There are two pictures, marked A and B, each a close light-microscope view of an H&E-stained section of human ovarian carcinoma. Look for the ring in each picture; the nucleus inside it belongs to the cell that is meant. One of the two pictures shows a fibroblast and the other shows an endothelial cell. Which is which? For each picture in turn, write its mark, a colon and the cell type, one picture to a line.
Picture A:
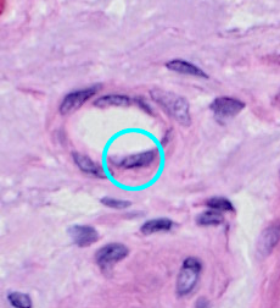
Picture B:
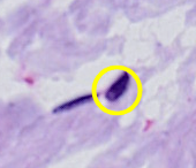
A: endothelial cell
B: fibroblast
